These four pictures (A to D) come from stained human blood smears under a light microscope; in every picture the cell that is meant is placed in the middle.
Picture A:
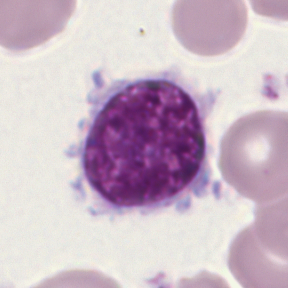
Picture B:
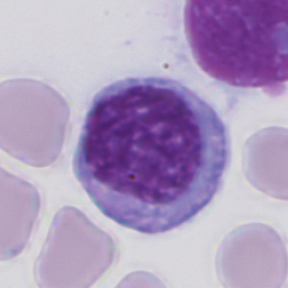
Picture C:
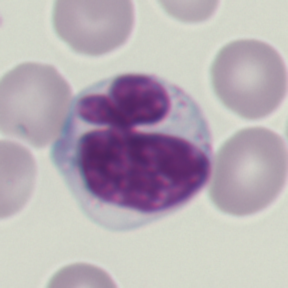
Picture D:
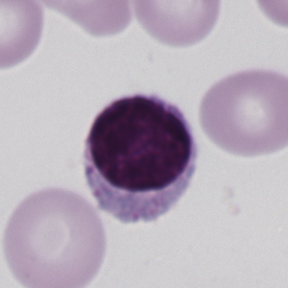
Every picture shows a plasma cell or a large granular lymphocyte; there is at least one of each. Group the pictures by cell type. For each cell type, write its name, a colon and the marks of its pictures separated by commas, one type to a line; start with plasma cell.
plasma cell: A, B
large granular lymphocyte: C, D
